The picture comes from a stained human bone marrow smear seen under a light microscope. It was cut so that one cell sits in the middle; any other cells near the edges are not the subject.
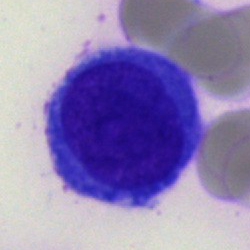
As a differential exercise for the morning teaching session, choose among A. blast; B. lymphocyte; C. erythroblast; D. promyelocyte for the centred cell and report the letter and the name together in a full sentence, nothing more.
Option A holds, for the cell in the middle is a blast.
